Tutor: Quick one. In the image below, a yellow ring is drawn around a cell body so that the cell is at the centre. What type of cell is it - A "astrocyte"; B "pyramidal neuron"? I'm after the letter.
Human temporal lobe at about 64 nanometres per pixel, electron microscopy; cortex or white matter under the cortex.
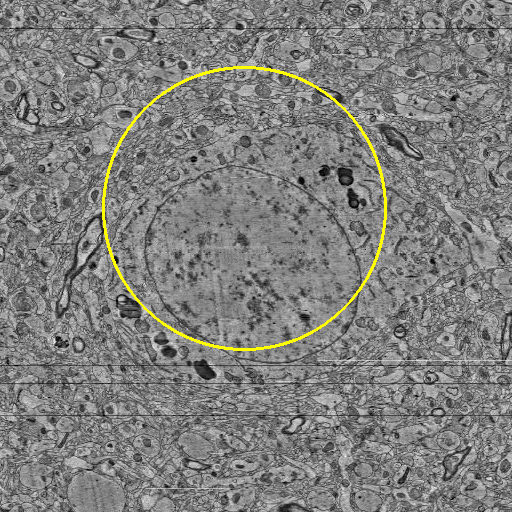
B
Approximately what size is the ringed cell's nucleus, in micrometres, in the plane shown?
Approximately 14 micrometres long and 12 micrometres wide, in this plane.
